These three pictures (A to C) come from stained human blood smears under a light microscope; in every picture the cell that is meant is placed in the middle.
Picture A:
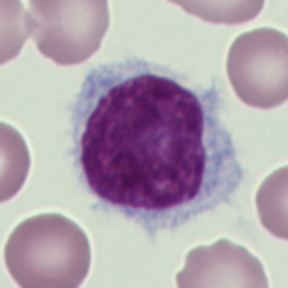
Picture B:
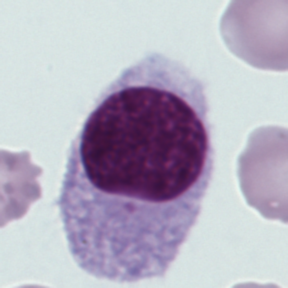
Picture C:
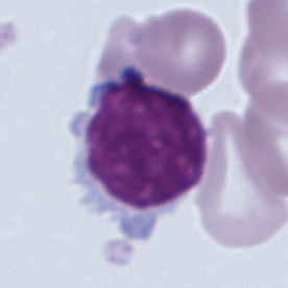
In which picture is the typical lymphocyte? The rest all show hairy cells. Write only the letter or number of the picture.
C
